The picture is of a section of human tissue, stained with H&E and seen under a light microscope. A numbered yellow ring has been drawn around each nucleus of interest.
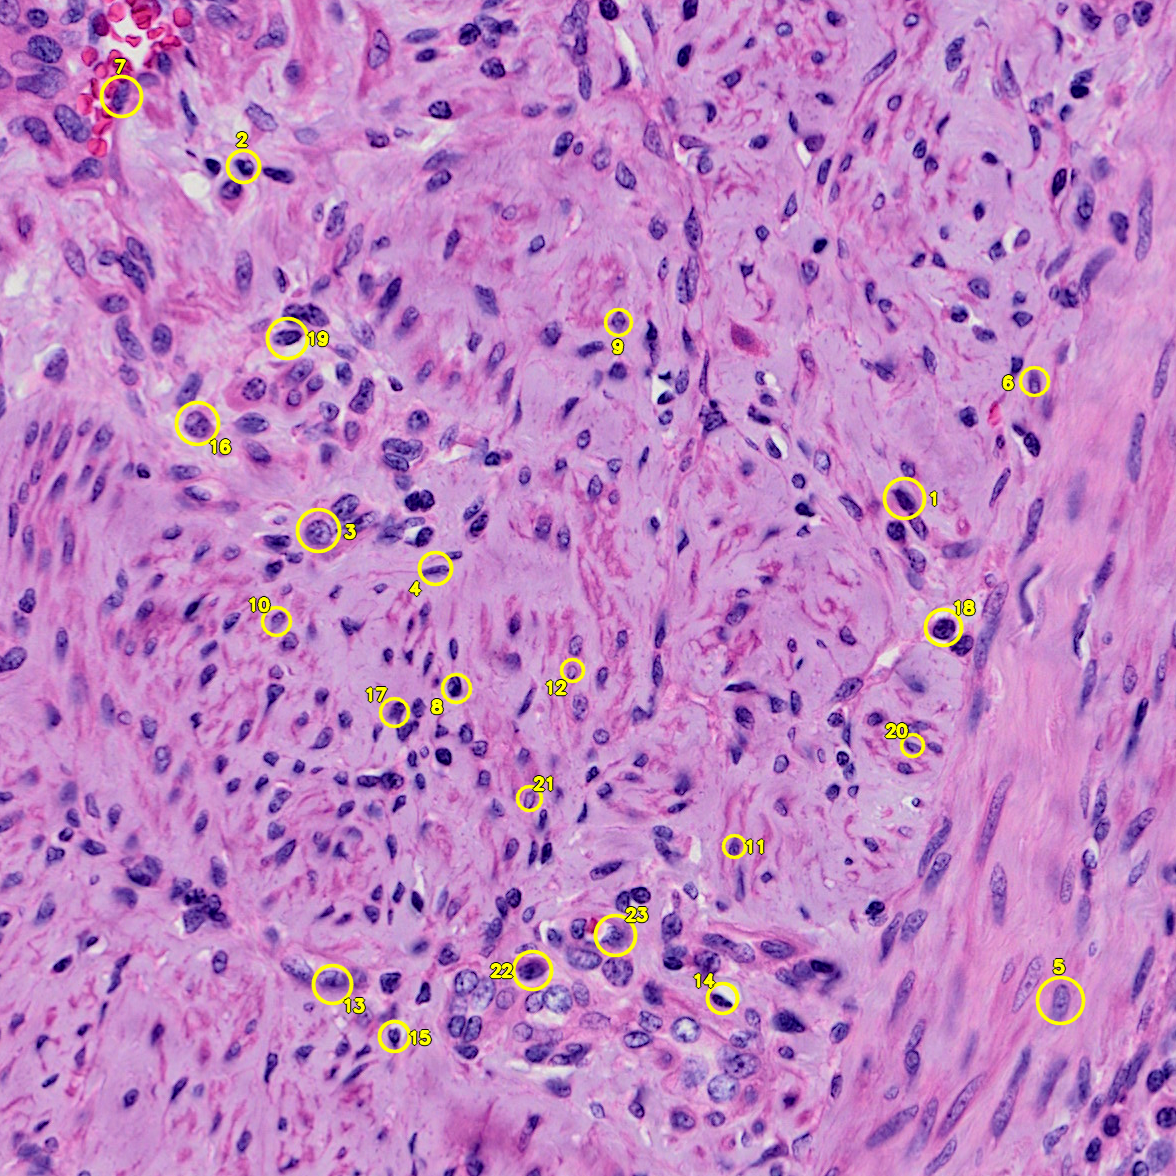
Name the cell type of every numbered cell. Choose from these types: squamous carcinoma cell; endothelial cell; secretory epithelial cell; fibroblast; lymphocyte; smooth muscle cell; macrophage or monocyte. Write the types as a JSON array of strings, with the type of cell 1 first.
["lymphocyte", "lymphocyte", "endothelial cell", "fibroblast", "smooth muscle cell", "smooth muscle cell", "endothelial cell", "lymphocyte", "smooth muscle cell", "smooth muscle cell", "smooth muscle cell", "smooth muscle cell", "endothelial cell", "lymphocyte", "lymphocyte", "macrophage or monocyte", "fibroblast", "lymphocyte", "lymphocyte", "smooth muscle cell", "smooth muscle cell", "lymphocyte", "endothelial cell"]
